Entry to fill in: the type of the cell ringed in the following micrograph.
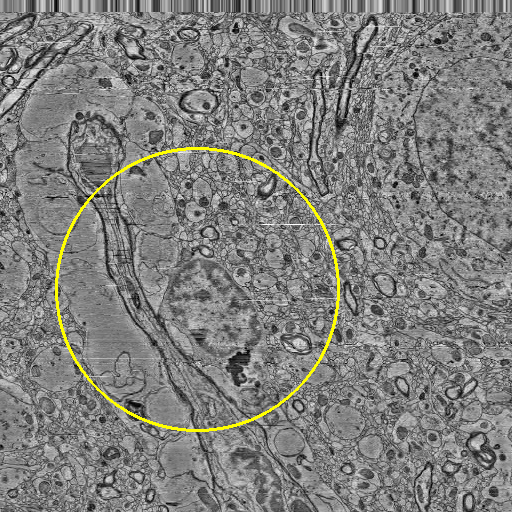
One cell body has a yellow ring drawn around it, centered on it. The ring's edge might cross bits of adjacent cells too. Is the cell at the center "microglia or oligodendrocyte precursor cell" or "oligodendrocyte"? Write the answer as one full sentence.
This entry names an oligodendrocyte as the cell whose body lies at the ring's center.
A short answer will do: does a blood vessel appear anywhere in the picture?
Yes, there is one.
